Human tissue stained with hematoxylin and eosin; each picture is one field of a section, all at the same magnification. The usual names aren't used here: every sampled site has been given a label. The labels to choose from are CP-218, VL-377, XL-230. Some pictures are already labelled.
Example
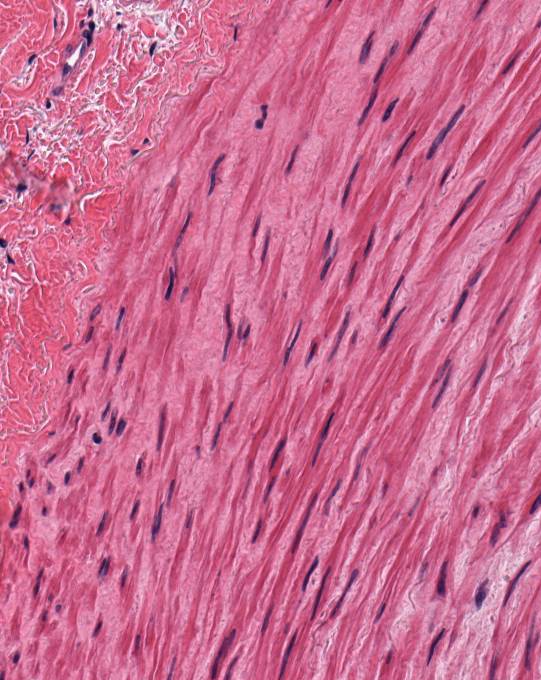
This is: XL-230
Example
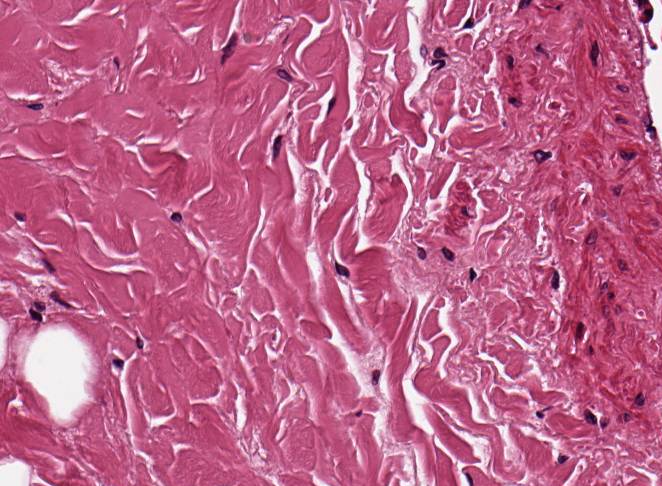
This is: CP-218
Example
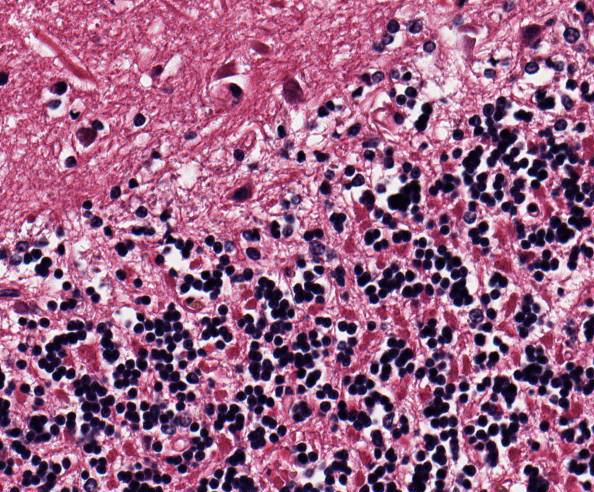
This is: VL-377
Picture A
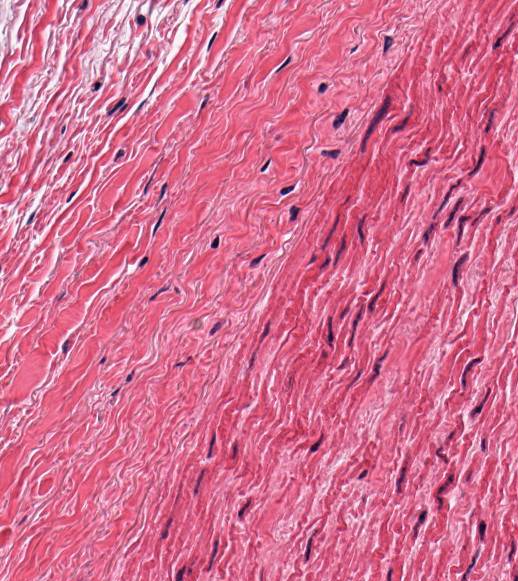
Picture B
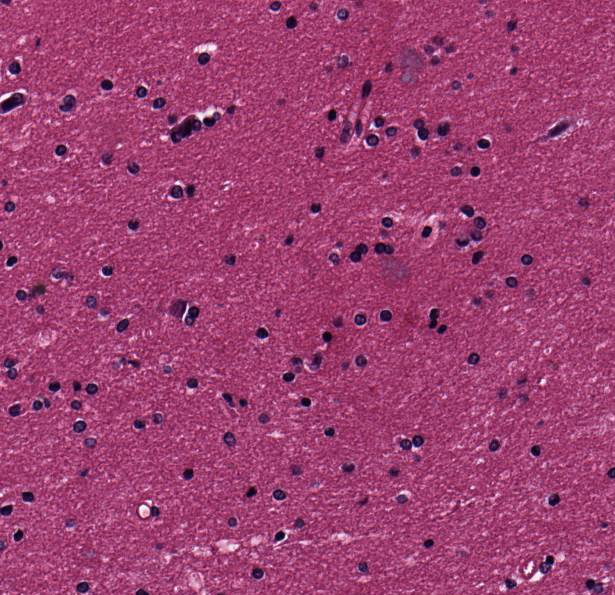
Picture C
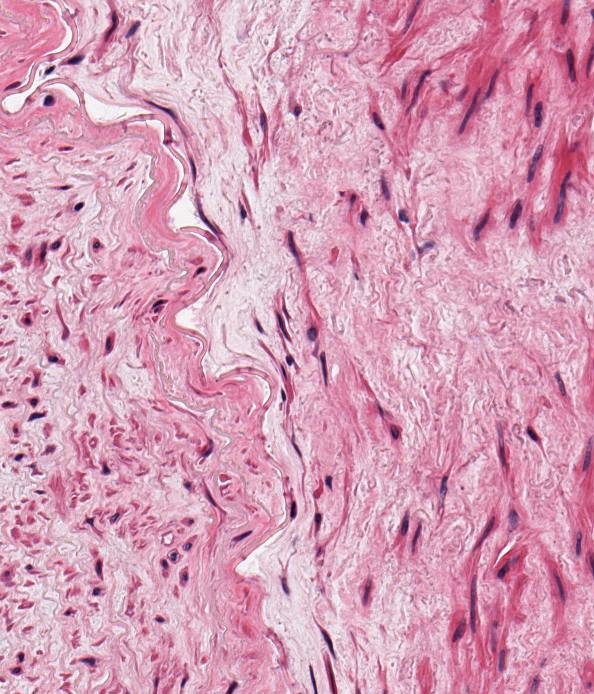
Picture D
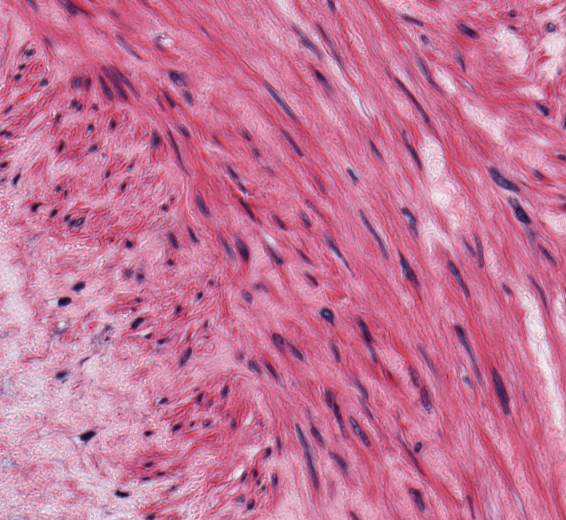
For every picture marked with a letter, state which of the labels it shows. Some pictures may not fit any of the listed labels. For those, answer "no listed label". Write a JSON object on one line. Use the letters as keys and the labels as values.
{"A": "CP-218", "B": "no listed label", "C": "XL-230", "D": "CP-218"}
